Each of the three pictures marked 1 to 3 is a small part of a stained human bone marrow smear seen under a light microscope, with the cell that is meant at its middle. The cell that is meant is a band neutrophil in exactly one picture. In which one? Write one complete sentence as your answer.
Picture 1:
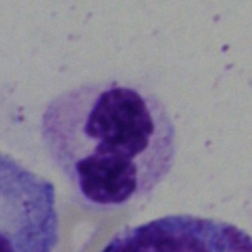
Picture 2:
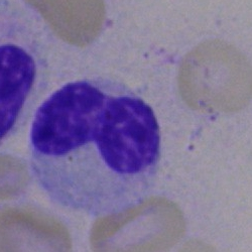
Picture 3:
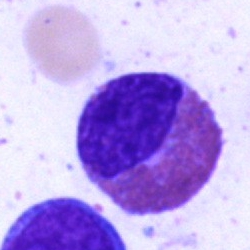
The picture with the band neutrophil is 2.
